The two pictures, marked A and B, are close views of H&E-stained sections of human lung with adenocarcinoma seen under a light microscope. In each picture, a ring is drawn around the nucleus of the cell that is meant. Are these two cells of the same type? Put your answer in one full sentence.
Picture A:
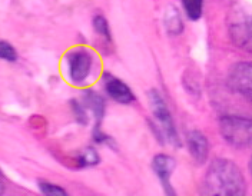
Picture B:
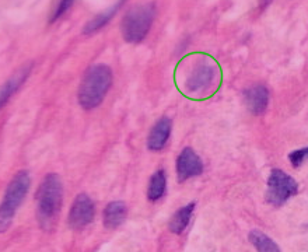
No. Picture A shows a plasma cell, but picture B shows a “smooth muscle cell or pericyte”.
